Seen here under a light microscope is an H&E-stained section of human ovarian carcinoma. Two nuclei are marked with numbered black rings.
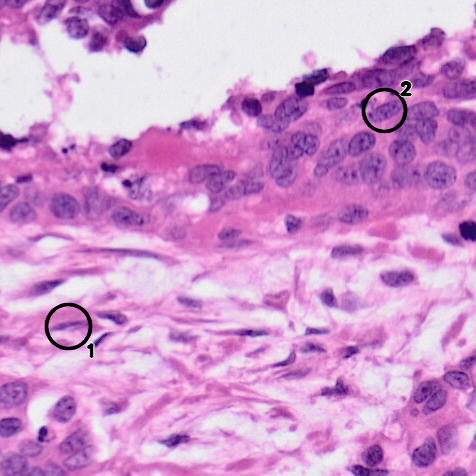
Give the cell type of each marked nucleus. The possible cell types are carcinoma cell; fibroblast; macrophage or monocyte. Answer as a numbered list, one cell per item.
1. fibroblast
2. carcinoma cell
